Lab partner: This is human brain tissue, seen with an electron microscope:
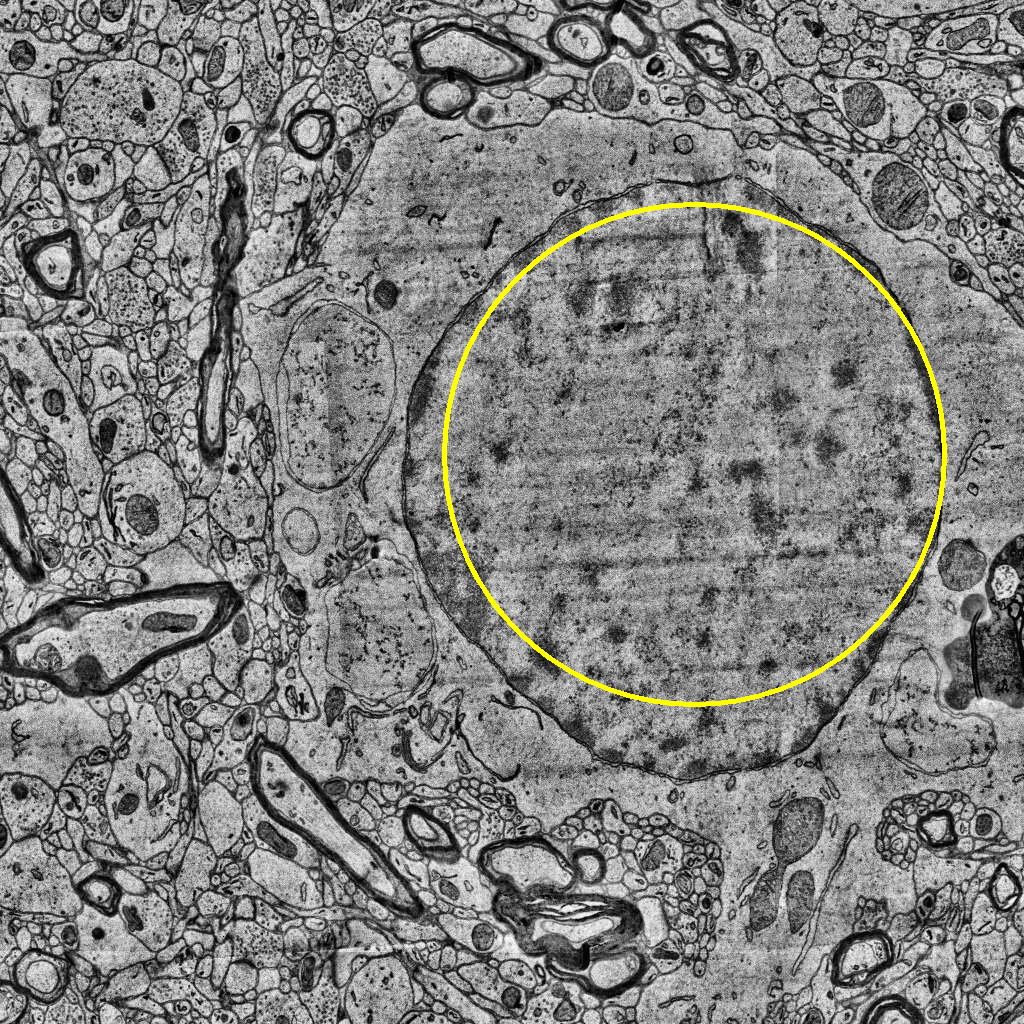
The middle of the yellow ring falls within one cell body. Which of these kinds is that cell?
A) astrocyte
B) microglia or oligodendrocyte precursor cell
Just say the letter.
A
